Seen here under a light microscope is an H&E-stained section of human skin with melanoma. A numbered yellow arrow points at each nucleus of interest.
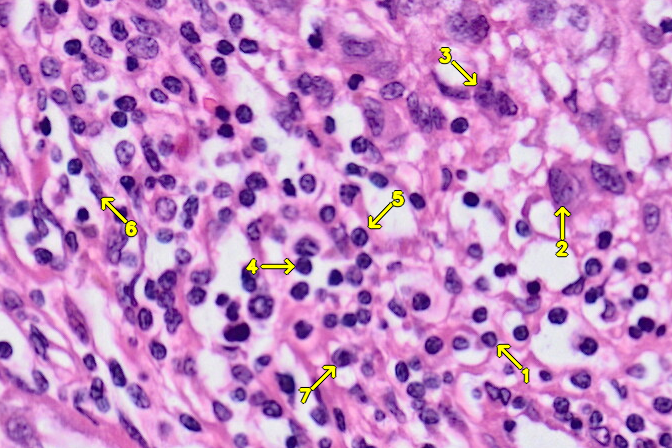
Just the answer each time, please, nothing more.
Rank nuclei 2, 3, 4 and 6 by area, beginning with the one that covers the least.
6, 4, 3, 2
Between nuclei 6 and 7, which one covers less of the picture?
6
